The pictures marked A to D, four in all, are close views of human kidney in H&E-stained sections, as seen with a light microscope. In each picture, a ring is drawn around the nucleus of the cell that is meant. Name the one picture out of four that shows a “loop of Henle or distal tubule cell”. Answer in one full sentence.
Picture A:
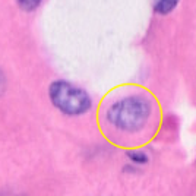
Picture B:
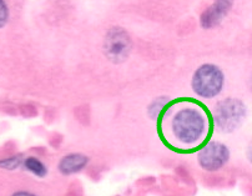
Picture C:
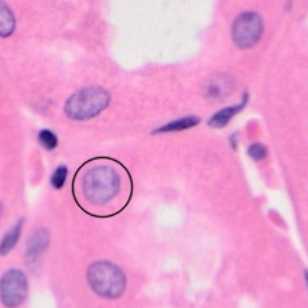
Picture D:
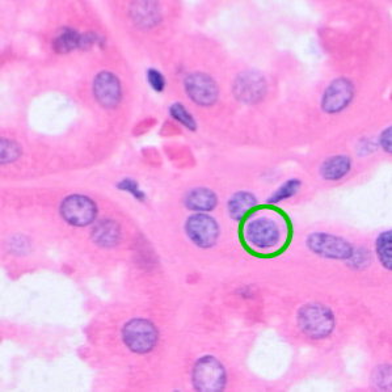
Picture A is the one that shows the “loop of Henle or distal tubule cell”.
